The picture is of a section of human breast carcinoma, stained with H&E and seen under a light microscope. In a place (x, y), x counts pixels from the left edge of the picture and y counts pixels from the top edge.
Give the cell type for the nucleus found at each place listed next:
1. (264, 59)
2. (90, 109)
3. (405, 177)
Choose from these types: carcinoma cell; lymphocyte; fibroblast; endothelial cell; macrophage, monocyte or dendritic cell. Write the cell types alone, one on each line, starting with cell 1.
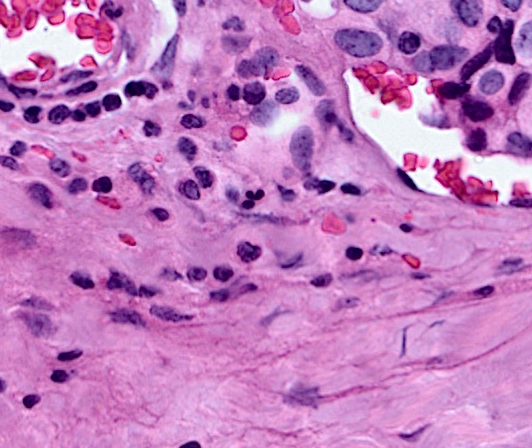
endothelial cell
lymphocyte
endothelial cell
